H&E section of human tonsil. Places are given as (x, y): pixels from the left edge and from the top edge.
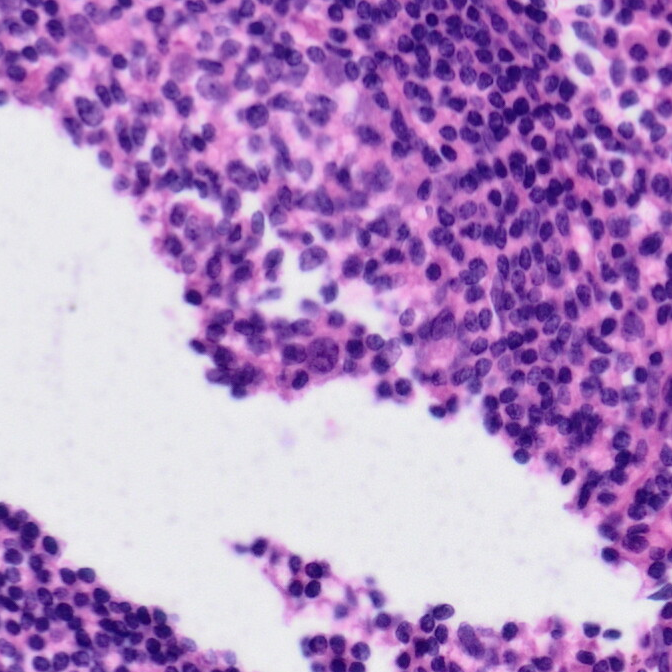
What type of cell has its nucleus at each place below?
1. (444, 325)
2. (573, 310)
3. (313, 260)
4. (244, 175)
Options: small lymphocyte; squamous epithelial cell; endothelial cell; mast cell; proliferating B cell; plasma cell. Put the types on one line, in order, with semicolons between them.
proliferating B cell; small lymphocyte; proliferating B cell; proliferating B cell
